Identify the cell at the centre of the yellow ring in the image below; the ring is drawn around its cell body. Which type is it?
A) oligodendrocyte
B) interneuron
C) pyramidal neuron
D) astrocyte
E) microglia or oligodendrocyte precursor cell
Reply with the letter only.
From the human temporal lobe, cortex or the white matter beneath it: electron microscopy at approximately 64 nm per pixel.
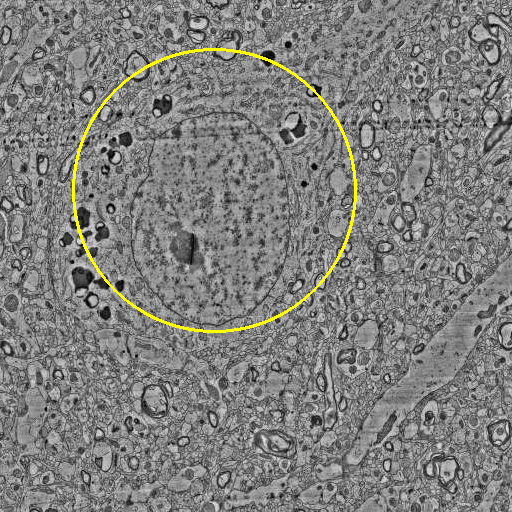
C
